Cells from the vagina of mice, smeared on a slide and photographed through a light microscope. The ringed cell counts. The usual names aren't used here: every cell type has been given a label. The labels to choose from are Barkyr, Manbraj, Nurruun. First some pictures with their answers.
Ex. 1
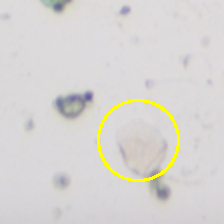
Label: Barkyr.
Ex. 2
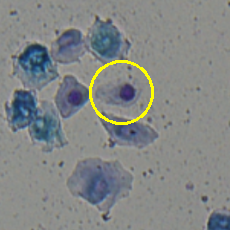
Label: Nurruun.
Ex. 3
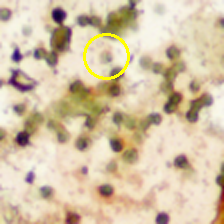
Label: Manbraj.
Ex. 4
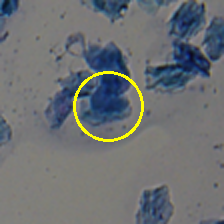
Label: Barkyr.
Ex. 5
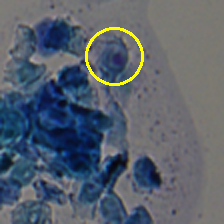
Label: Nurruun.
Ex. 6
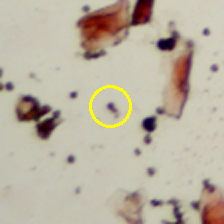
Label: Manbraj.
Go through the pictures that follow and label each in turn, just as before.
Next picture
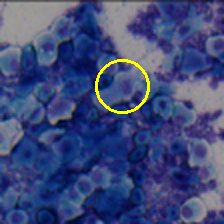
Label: Nurruun.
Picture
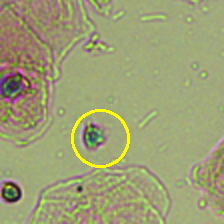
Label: Manbraj.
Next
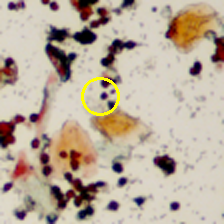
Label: Manbraj.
